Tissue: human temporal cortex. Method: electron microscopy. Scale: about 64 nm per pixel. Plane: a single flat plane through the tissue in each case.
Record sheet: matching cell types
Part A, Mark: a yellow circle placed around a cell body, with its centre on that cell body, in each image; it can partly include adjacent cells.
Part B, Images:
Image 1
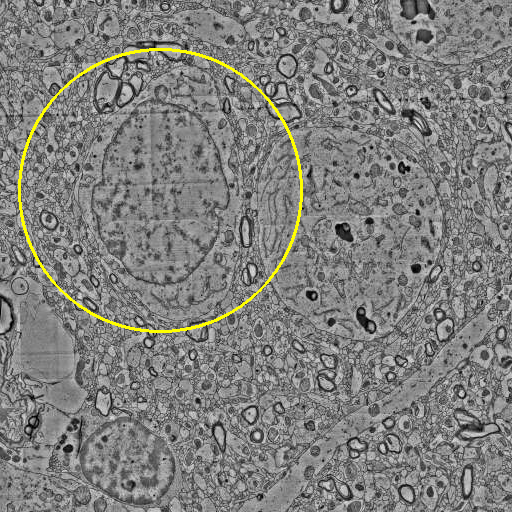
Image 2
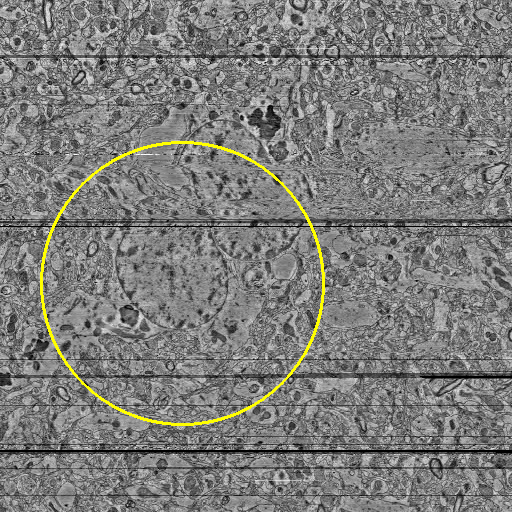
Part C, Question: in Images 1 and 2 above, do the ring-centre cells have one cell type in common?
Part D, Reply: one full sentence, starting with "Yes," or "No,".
No, the ring-centre cells of Image 1 and Image 2 are each of a separate cell type.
